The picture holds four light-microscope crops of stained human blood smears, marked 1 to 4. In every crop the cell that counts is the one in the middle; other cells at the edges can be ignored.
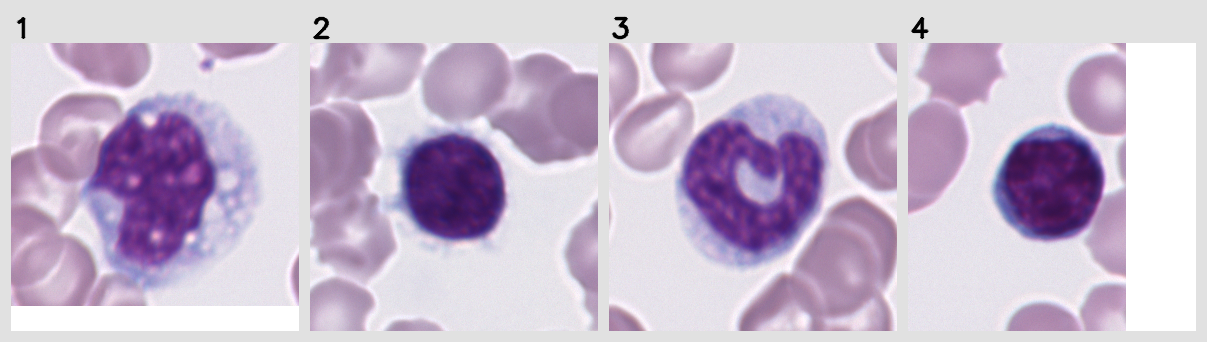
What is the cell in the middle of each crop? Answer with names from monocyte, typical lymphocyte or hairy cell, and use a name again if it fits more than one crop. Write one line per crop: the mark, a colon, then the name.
1: monocyte
2: hairy cell
3: monocyte
4: typical lymphocyte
